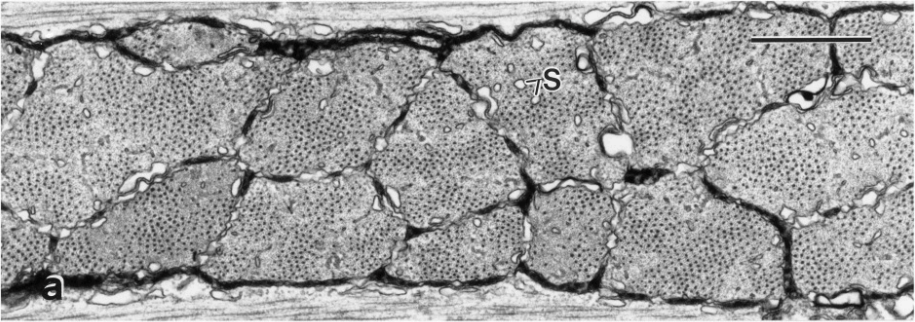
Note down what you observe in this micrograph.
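These are muscle fibers cut across, seen as closely packed polygonal profiles bounded by dark membranes. Their interiors are filled with evenly spaced dark dots, the cross-cut thick myofilaments, among paler thin filaments. Small pale vesicular profiles of sarcoplasmic reticulum lie scattered among the filaments, mostly near the edges of the fibers.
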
